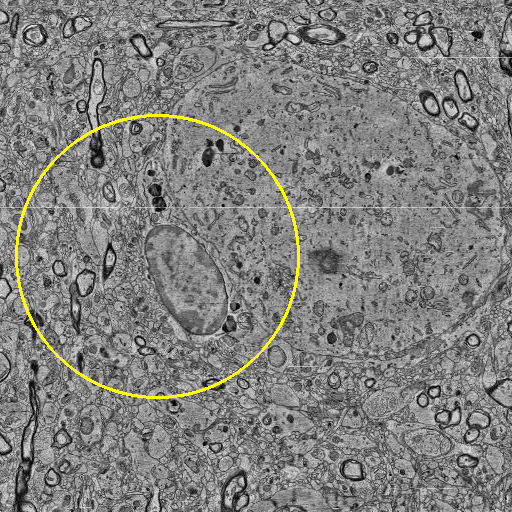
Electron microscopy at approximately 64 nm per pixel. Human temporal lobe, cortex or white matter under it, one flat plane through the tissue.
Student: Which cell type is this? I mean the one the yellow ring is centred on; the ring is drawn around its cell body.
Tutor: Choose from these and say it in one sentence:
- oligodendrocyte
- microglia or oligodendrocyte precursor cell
The cell the ring is centred on is a microglial cell or oligodendrocyte precursor cell.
